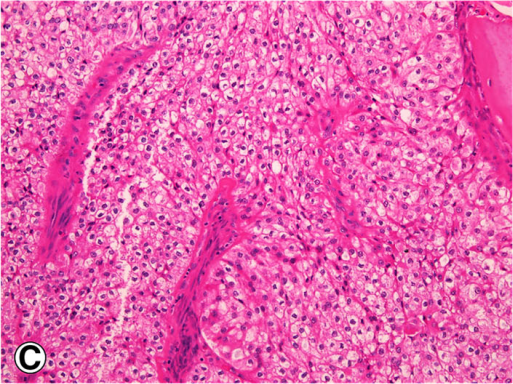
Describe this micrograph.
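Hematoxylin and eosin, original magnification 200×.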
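Sheets and nests of polygonal to round tumour cells with abundant clear to pale pink cytoplasm and sharp cell borders fill the field, crossed by thin pink fibrous septa with spindle-shaped nuclei. The nuclei are small, round and centrally placed. This is a clear cell tumour arranged in nests separated by fibrous septa.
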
